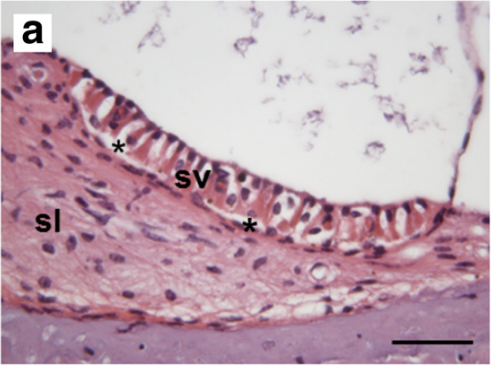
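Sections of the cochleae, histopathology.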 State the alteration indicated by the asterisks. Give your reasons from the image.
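A continuous white cleft runs beneath the multilayered epithelium lining the lumen. The asterisks sit in this cleft, between the epithelium and the underlying fibrous tissue. So: Detachment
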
